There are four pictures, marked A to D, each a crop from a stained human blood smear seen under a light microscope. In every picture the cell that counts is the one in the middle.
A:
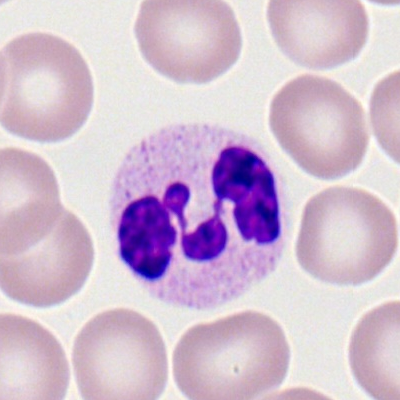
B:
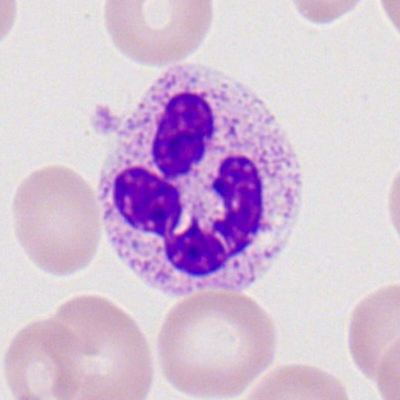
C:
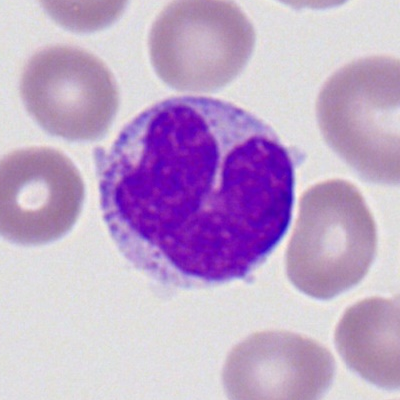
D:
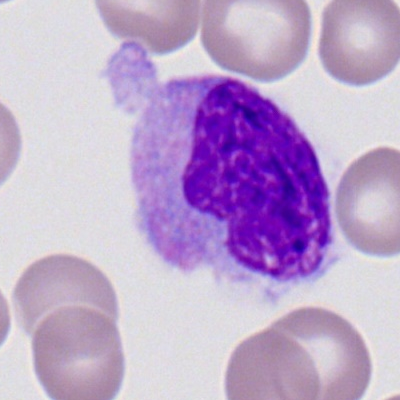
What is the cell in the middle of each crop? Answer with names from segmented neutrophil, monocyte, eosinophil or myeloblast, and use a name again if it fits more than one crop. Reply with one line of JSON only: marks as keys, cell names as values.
{"A": "segmented neutrophil", "B": "segmented neutrophil", "C": "monocyte", "D": "monocyte"}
